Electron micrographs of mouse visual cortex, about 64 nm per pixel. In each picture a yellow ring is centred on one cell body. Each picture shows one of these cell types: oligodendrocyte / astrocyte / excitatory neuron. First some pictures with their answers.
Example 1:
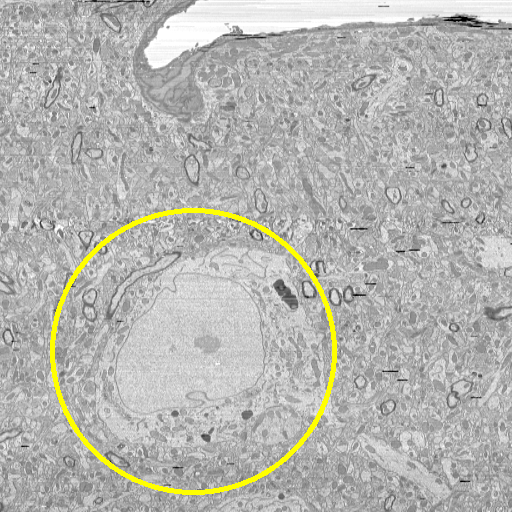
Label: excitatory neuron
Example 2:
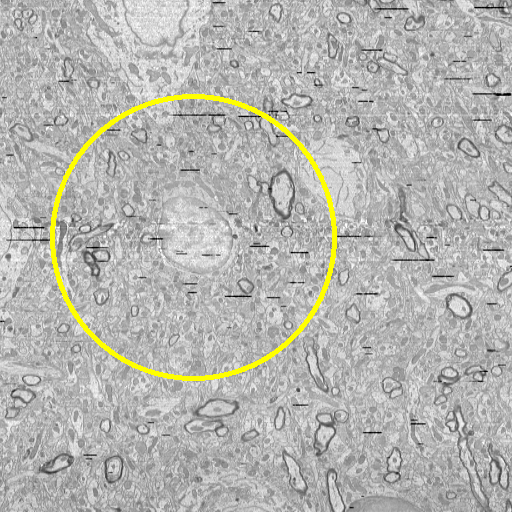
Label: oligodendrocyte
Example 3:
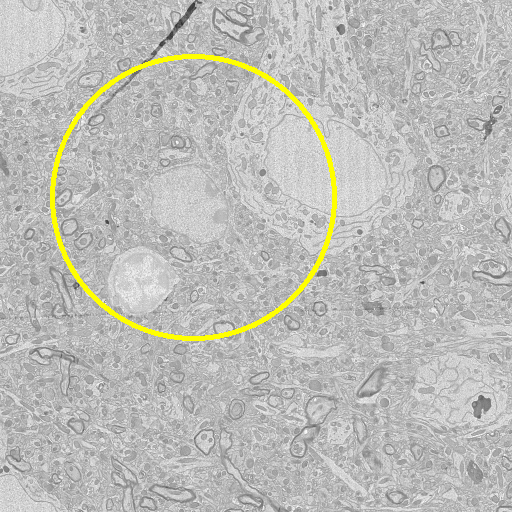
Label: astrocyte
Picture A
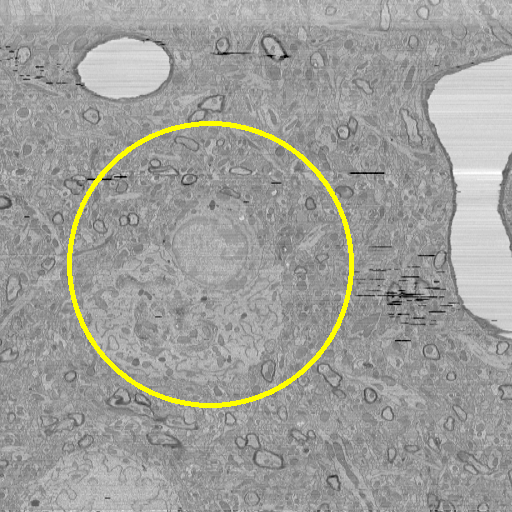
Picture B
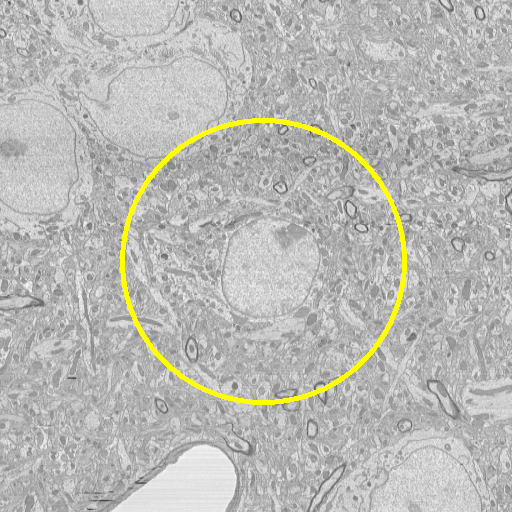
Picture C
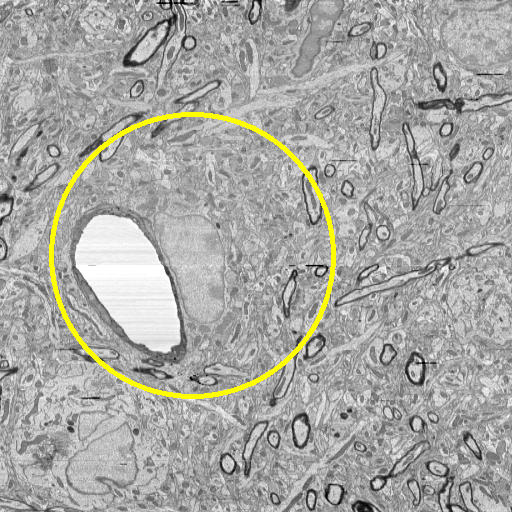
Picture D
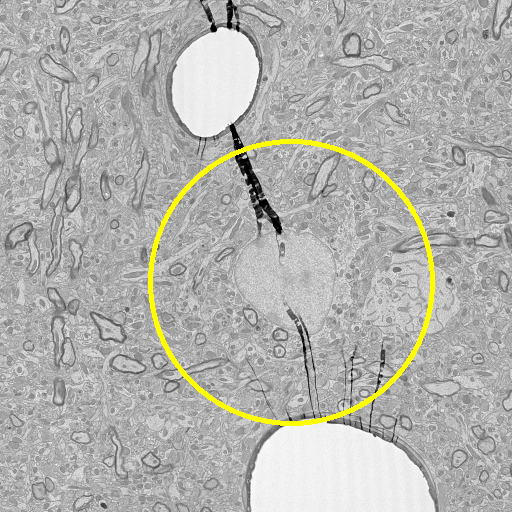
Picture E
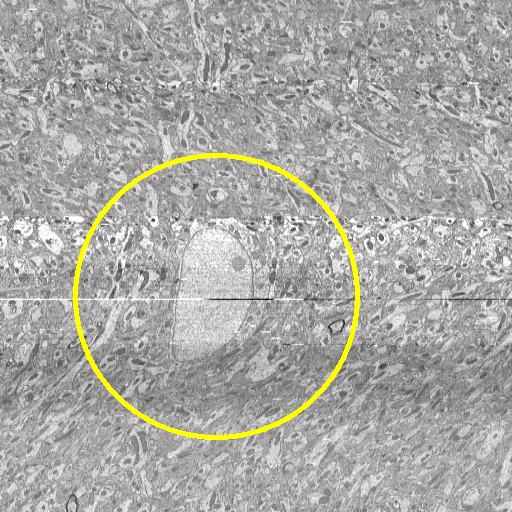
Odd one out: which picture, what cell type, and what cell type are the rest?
Different: A, oligodendrocyte. Others: astrocyte.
